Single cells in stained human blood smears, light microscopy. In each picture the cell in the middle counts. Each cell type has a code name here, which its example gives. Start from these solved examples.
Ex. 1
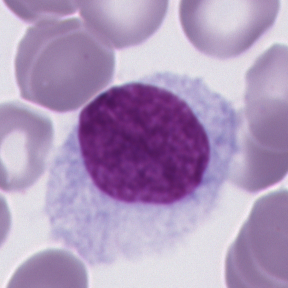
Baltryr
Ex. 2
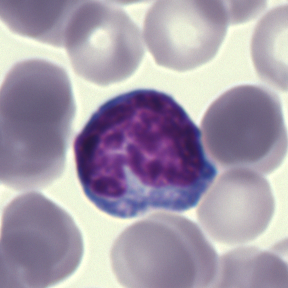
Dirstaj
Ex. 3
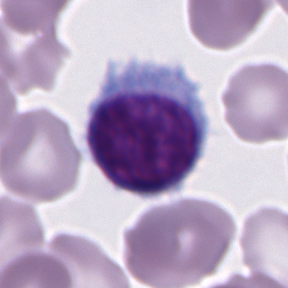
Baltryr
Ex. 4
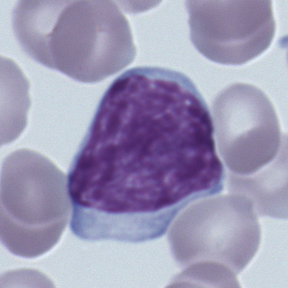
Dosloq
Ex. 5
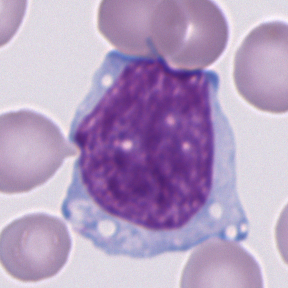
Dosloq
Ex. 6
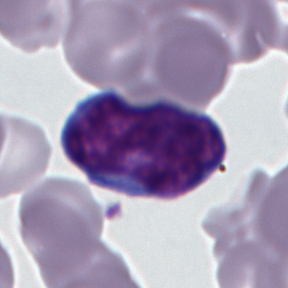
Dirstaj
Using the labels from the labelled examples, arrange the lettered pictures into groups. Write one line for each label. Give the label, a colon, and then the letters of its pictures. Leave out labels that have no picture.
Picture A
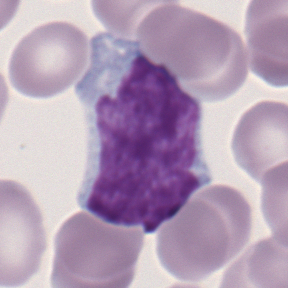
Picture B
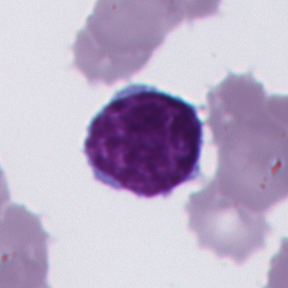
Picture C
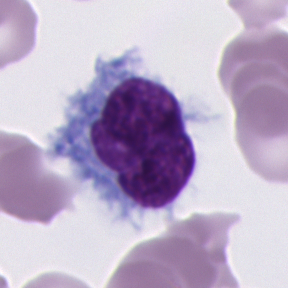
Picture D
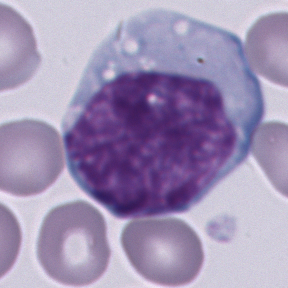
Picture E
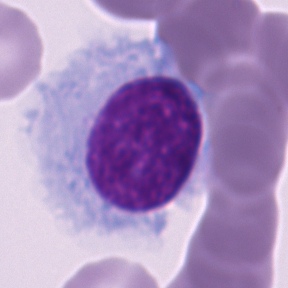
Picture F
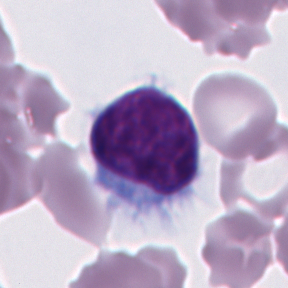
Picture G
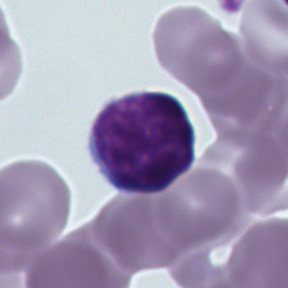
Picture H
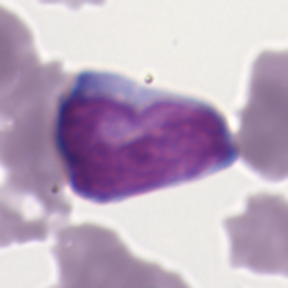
Baltryr: C, E, F
Dirstaj: A, B, G
Dosloq: D, H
